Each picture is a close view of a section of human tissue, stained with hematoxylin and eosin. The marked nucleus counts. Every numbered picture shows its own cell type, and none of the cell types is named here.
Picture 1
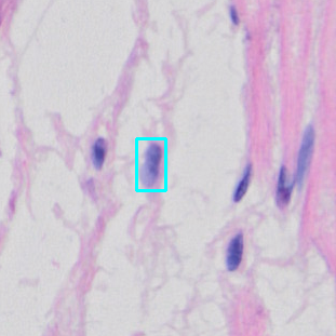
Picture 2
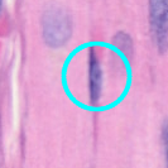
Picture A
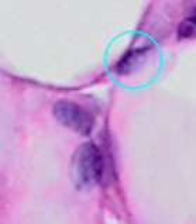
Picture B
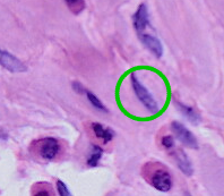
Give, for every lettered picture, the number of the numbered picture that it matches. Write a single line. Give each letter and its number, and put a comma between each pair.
A 1, B 1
